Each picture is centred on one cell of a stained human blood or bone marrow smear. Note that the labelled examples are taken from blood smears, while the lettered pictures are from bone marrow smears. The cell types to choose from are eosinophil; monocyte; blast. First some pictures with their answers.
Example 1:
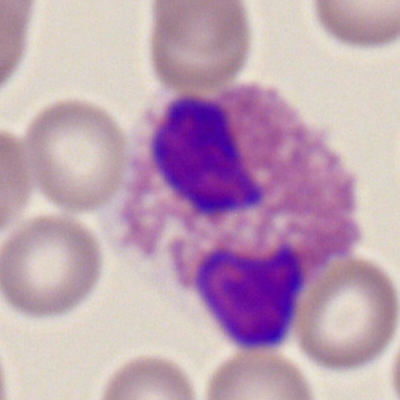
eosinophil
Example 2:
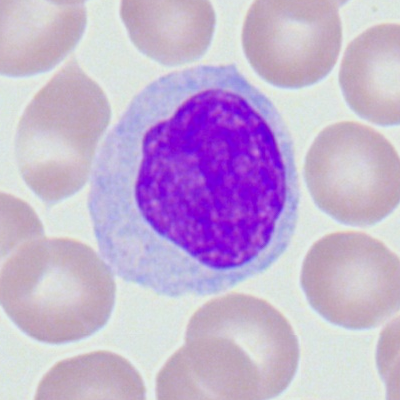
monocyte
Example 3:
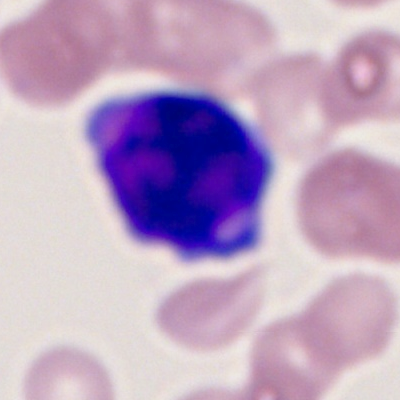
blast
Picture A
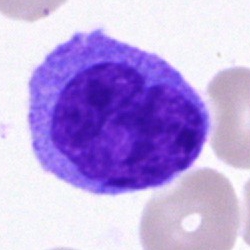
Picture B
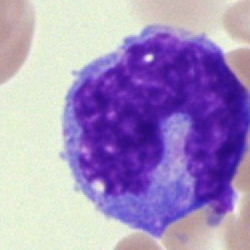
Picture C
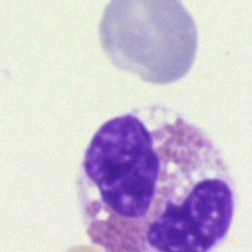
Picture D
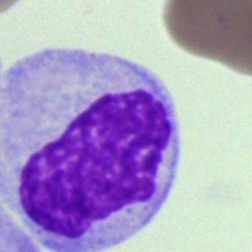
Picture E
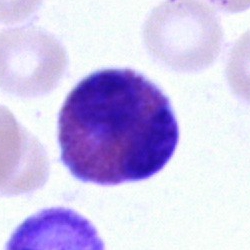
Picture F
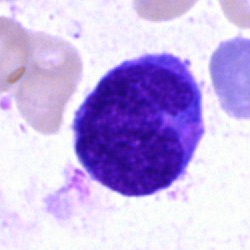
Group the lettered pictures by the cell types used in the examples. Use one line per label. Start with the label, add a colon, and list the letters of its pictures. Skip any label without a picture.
eosinophil: C, E
monocyte: A, B, D
blast: F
